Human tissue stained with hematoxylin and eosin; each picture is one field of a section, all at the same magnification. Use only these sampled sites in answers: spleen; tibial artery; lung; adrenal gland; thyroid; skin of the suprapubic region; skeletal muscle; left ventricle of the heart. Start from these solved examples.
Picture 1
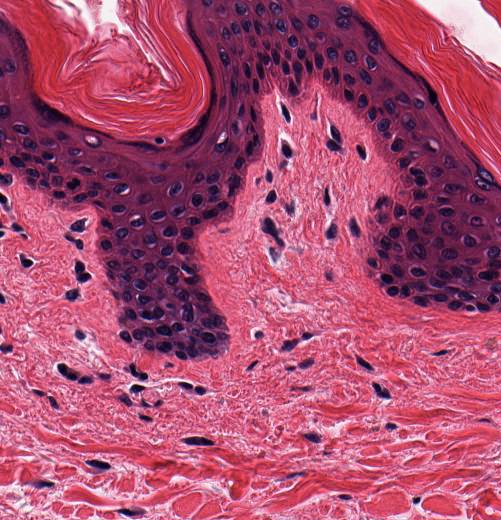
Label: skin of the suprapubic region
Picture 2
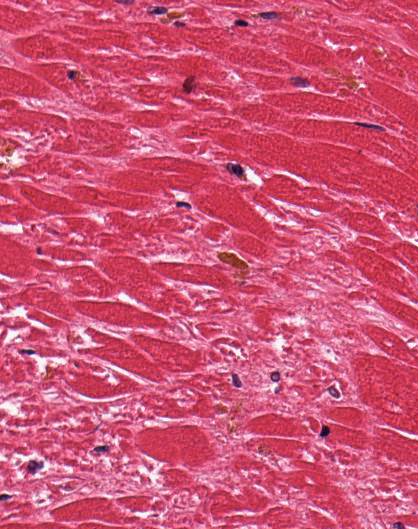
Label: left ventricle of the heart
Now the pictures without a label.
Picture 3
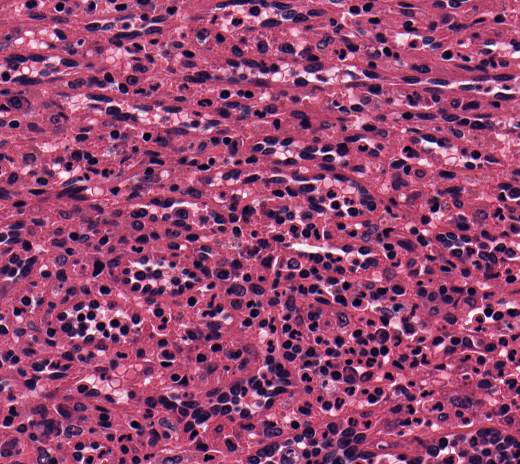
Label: spleen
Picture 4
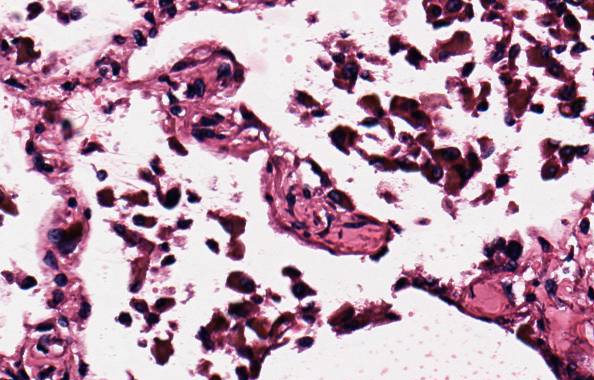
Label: lung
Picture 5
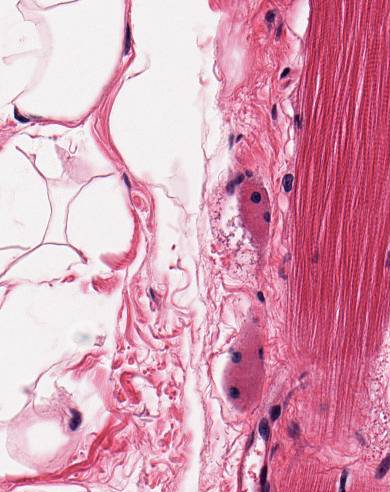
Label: skeletal muscle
